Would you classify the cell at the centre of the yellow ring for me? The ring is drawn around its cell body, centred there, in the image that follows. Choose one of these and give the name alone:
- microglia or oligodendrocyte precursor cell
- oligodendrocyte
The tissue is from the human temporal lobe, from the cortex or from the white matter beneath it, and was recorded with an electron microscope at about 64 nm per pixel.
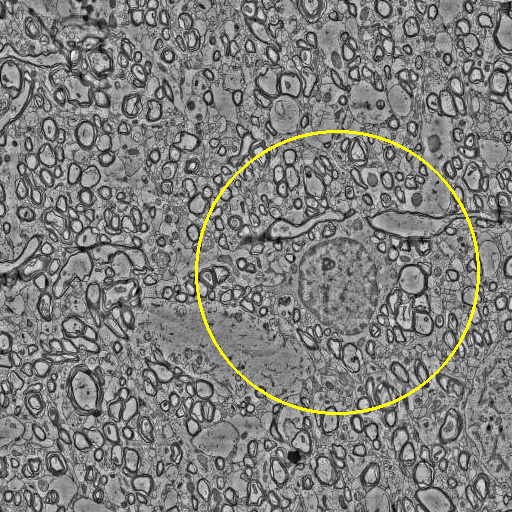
oligodendrocyte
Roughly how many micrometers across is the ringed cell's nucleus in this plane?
The nucleus comes to roughly 6 by 5 micrometres in this plane.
